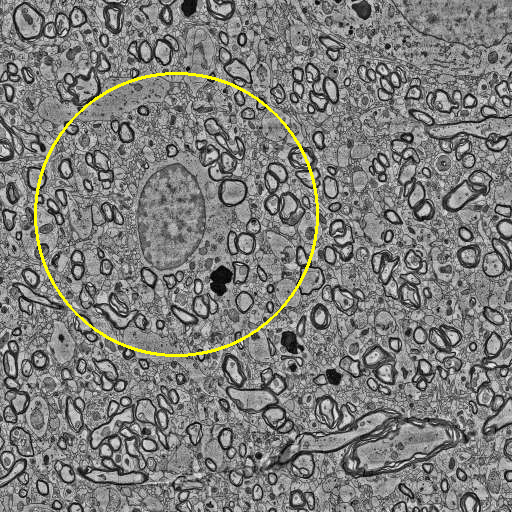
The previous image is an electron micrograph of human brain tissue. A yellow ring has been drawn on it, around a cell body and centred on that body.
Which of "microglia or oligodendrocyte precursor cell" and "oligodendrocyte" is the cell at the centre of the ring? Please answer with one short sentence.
The cell body at the centre of the ring belongs to an oligodendrocyte.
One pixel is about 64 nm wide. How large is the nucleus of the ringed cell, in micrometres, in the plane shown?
About 7 by 4 micrometres; in this plane the nucleus is clearly longer than it is wide.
